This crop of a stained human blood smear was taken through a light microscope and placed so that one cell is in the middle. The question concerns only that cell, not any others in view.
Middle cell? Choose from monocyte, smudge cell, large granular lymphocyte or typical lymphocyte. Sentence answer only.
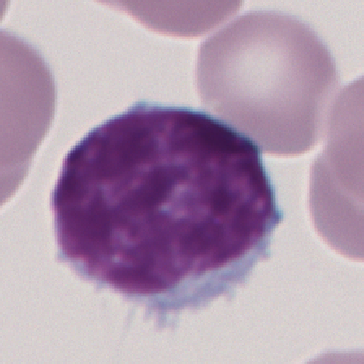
As for the cell in the middle, it is a typical lymphocyte.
